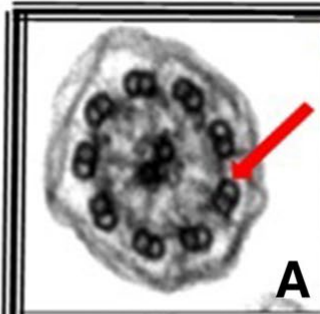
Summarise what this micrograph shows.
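A cross-section of a cilium shows a ring of microtubule doublets around a dense central pair, all within the ciliary membrane. The red arrow points at a doublet on the outer ring whose outer side lacks a clear hook-like arm.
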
